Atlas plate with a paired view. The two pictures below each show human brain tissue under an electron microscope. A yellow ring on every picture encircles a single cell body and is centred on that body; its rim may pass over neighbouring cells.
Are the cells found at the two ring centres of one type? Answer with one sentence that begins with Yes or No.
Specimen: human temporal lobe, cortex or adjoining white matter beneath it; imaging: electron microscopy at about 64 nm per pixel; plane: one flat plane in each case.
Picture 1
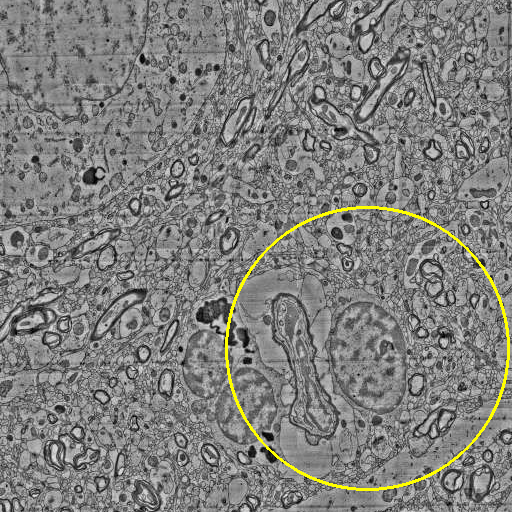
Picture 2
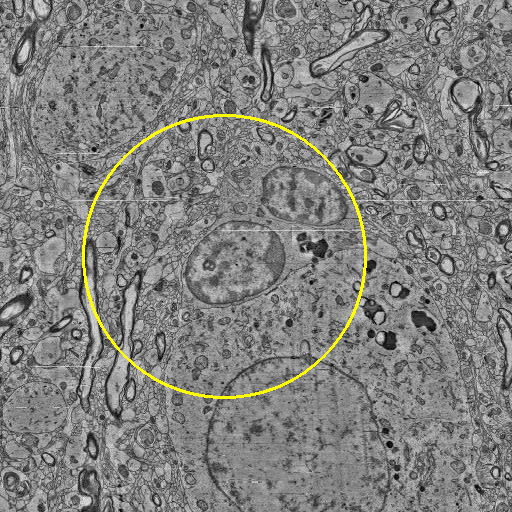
Yes, the two cells lying at the centres of the rings share a single type.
